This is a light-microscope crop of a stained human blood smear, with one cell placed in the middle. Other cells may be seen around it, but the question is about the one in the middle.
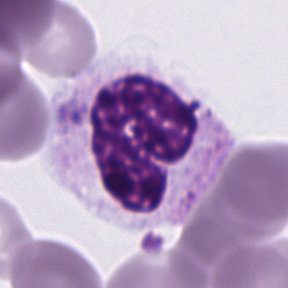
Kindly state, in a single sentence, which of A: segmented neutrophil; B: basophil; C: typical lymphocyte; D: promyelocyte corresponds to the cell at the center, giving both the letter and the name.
Option A is correct; the cell in the middle is a segmented neutrophil.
